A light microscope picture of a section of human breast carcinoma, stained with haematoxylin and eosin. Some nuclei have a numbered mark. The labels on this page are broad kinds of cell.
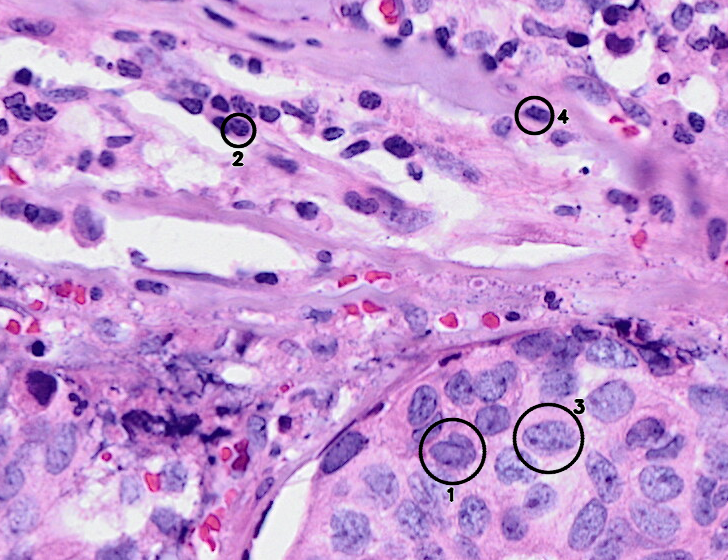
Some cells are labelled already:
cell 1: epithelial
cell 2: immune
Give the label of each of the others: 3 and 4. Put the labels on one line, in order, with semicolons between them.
epithelial; immune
